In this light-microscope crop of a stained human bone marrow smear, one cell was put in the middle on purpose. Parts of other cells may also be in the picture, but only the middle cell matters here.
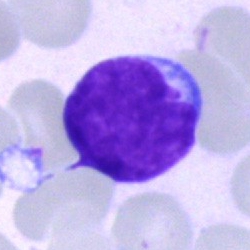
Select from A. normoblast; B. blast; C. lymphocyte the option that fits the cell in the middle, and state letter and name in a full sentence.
Option B is accurate; the centrally placed cell is a blast.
